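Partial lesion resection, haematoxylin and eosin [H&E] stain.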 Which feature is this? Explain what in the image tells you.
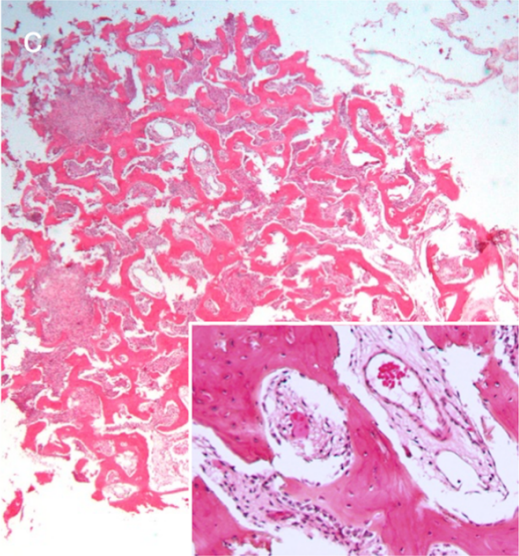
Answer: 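Irregular, curvilinear trabeculae of woven and lamellar bone. Pink-staining bony strands branch and curve irregularly across the field. The strands are thin and interconnected, without a regular parallel pattern.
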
